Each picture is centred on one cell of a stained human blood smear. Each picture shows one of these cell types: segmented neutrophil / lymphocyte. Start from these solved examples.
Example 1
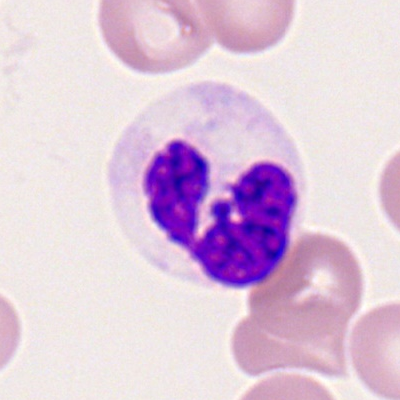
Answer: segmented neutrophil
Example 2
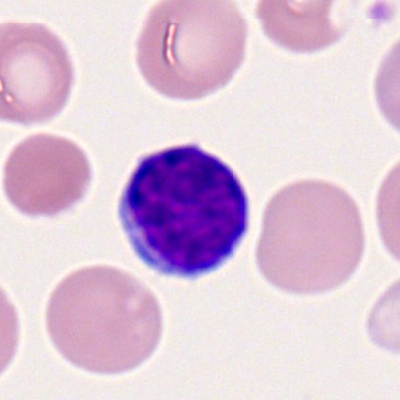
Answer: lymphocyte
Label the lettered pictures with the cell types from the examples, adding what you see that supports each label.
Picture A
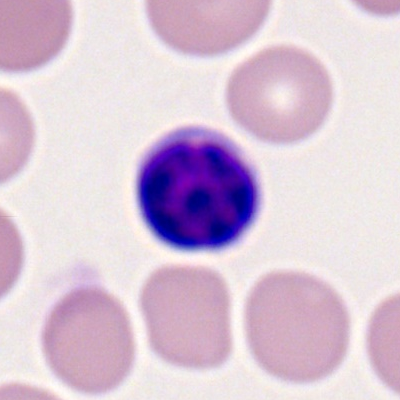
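Label: lymphocyte. The nucleus fills almost the whole cell.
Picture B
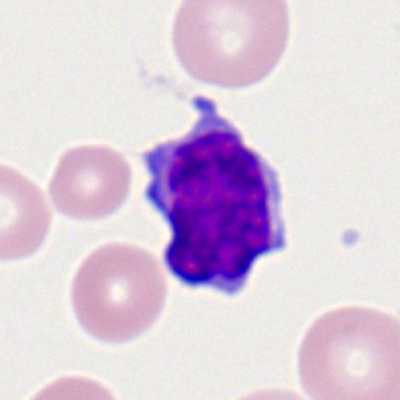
Label: lymphocyte. The nucleus fills most of the cell.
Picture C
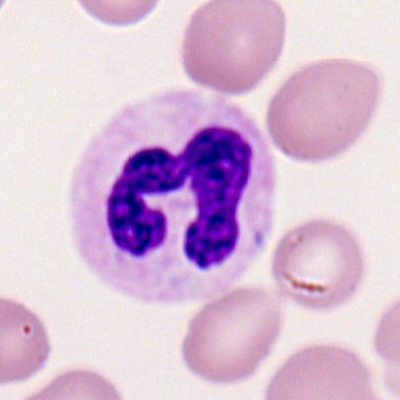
Label: segmented neutrophil. The cytoplasm is abundant and pale pinkish-lilac.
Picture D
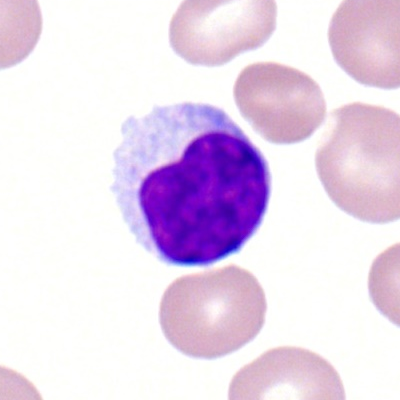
Label: lymphocyte. The nucleus has a notch in its upper edge, giving it a bean shape.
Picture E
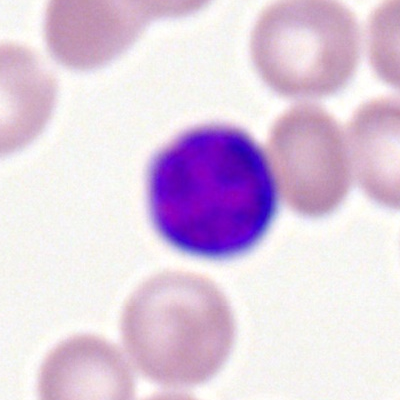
Label: lymphocyte. The cytoplasm is at most a very thin rim at the cell's edge.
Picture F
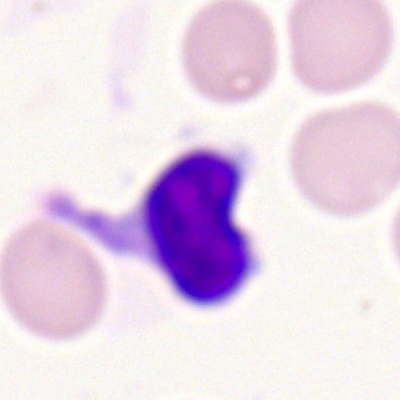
Label: lymphocyte. The cytoplasm is scant and pale blue.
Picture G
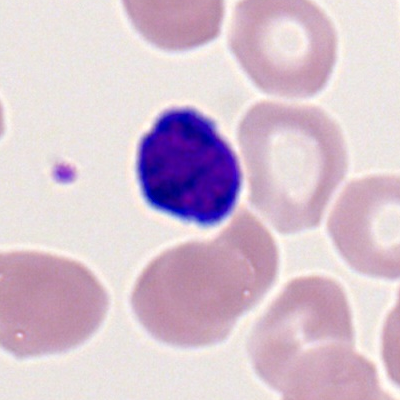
Label: lymphocyte. Cytoplasm is scant, at most a very thin rim around the nucleus.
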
